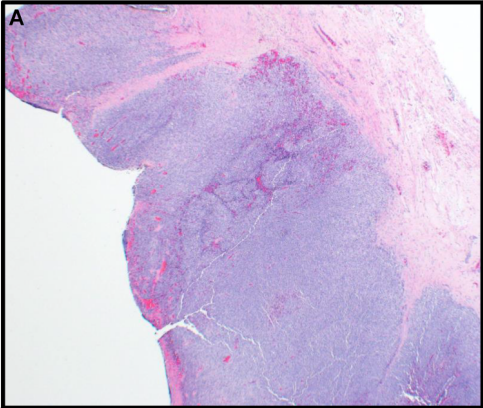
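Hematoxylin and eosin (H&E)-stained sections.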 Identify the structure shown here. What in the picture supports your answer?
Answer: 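Intramural nodules. Large rounded purple cellular masses lie within the wall.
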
